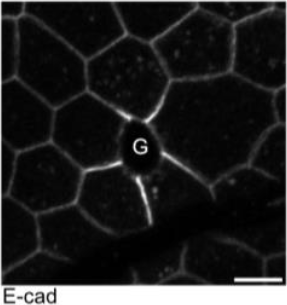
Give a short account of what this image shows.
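An en face view of an epithelial sheet in which polygonal cells are outlined by their junctions, with a round goblet cell at the centre. The junctions radiating away from the round cell are markedly brighter near it than the borders between cells farther away.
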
